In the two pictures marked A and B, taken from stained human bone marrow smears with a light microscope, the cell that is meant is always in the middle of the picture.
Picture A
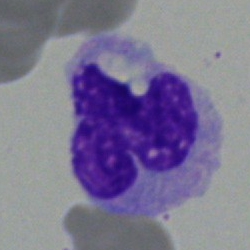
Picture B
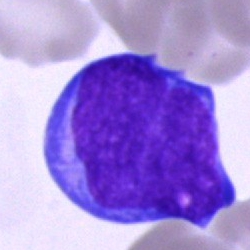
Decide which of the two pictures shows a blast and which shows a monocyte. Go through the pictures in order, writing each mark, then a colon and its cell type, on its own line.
A: monocyte
B: blast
